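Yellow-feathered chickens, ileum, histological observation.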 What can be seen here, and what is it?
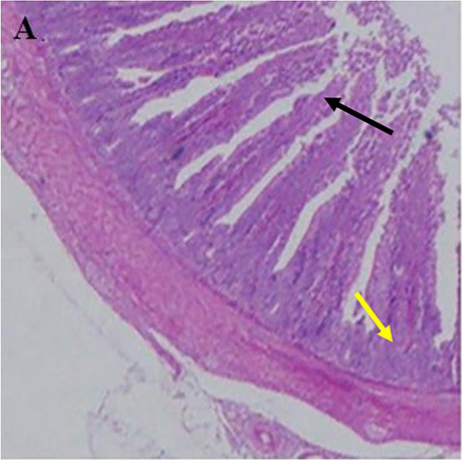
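A section of the ileal wall shows purple-stained villi projecting toward the lumen, separated by white spaces, with some loose material at their tips. The crypt zone at the base of the mucosa is densely purple with small pale openings, and outside it lies a thick pink layer of muscle.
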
